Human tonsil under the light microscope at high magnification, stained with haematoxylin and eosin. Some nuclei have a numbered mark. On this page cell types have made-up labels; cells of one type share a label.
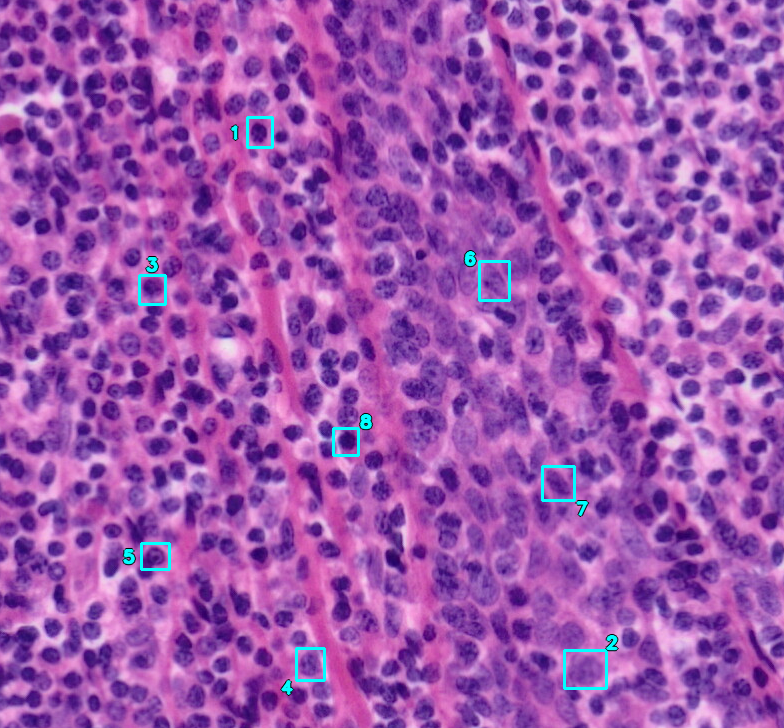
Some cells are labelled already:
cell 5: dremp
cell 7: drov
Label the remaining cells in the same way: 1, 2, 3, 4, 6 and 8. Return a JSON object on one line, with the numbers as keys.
{"1": "dremp", "2": "drov", "3": "dremp", "4": "dremp", "6": "drov", "8": "dremp"}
